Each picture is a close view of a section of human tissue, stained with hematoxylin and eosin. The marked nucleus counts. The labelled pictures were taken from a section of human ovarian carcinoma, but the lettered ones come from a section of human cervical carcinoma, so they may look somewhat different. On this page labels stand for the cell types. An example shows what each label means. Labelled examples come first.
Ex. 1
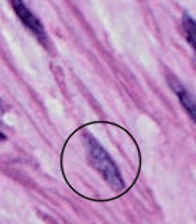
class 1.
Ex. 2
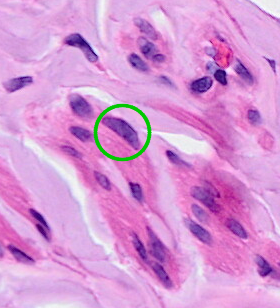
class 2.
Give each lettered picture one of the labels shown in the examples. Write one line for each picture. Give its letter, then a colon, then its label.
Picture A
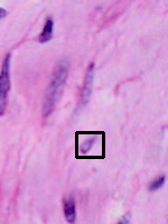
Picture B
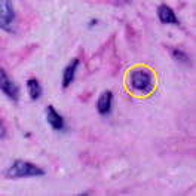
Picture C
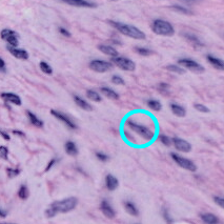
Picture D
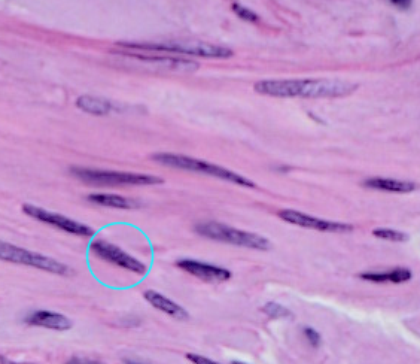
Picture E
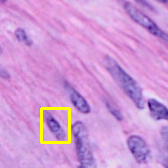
A: class 1.
B: class 2.
C: class 2.
D: class 1.
E: class 2.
